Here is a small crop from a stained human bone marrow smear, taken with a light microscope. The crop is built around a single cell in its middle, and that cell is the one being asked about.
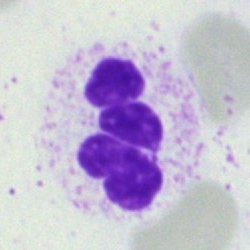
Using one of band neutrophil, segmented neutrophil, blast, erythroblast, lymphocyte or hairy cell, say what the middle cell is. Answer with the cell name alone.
segmented neutrophil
